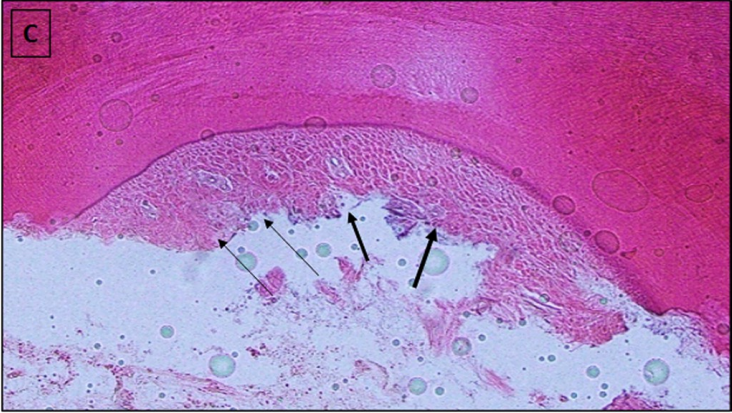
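A curved band of dense pink dentin, faintly striated, runs across the upper part of the field. Along its inner, pulpal side lies a layer of pink fibrous connective tissue containing a few small vessel-like spaces and scattered nuclei. Below this layer the field is largely empty, with loose pink fragments and debris.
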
